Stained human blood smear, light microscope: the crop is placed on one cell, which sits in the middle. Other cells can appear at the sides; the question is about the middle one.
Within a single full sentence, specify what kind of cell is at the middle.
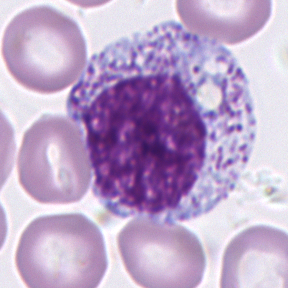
For this crop, the cell in the middle is a promyelocyte.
